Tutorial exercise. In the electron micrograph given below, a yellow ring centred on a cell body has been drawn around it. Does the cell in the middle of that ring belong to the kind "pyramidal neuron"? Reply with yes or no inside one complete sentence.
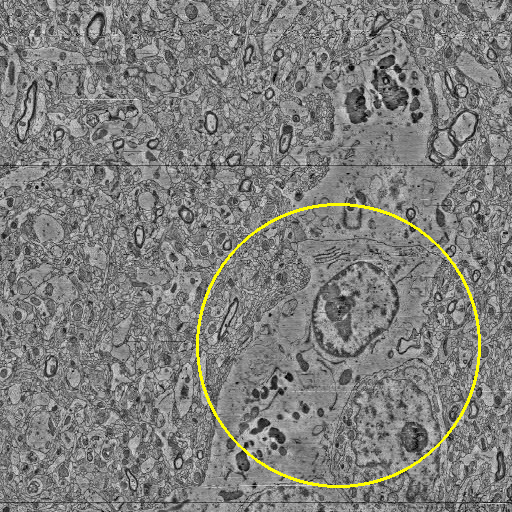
No, the cell at the centre of the ring in the picture is of a different kind.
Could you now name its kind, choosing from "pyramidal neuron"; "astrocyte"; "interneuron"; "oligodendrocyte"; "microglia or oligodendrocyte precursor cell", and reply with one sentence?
Instead, the picture shows an astrocyte at the centre of the ring.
